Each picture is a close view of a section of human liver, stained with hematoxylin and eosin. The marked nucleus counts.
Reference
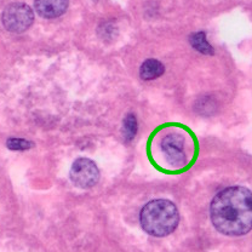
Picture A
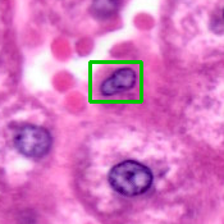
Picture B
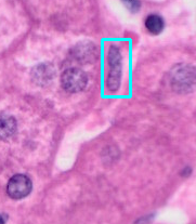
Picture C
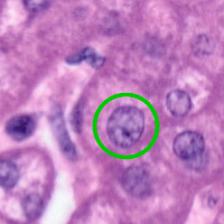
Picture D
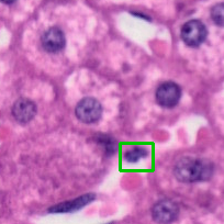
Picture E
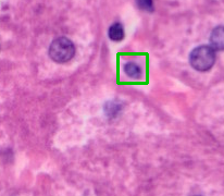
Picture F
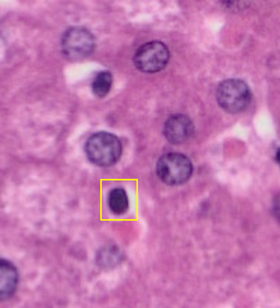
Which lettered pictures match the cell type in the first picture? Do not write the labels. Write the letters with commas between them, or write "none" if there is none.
A, B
